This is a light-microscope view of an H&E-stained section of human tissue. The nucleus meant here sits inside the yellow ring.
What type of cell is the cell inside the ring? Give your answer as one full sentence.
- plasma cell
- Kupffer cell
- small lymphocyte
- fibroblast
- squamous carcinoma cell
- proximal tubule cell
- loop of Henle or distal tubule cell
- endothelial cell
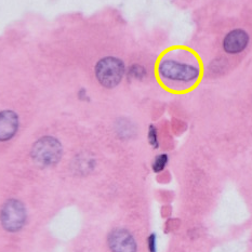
The cell inside the ring is a proximal tubule cell.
